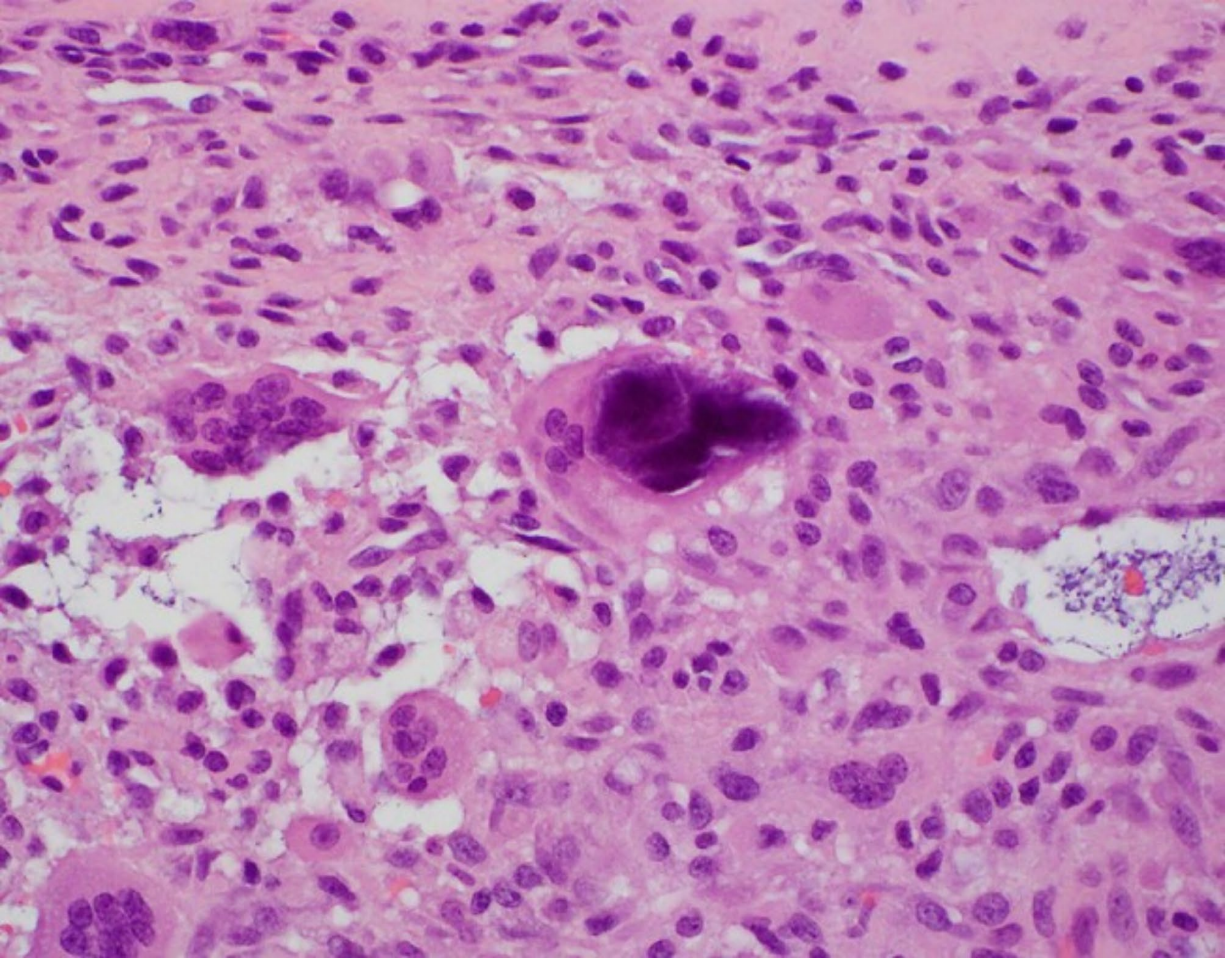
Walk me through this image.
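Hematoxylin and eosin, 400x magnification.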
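Several giant cells are seen, each with abundant pink cytoplasm and a crowded cluster of many round to oval nuclei. In the centre a large pink cell wraps around a dark purple deposit that is not a nucleus, with a few of the cell's nuclei pushed to its edge. The surrounding cells are oval to spindle-shaped, with dark nuclei, set in a pink background with some clear, vacuolated spaces. At the right a clear space holds fine purple granular material.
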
